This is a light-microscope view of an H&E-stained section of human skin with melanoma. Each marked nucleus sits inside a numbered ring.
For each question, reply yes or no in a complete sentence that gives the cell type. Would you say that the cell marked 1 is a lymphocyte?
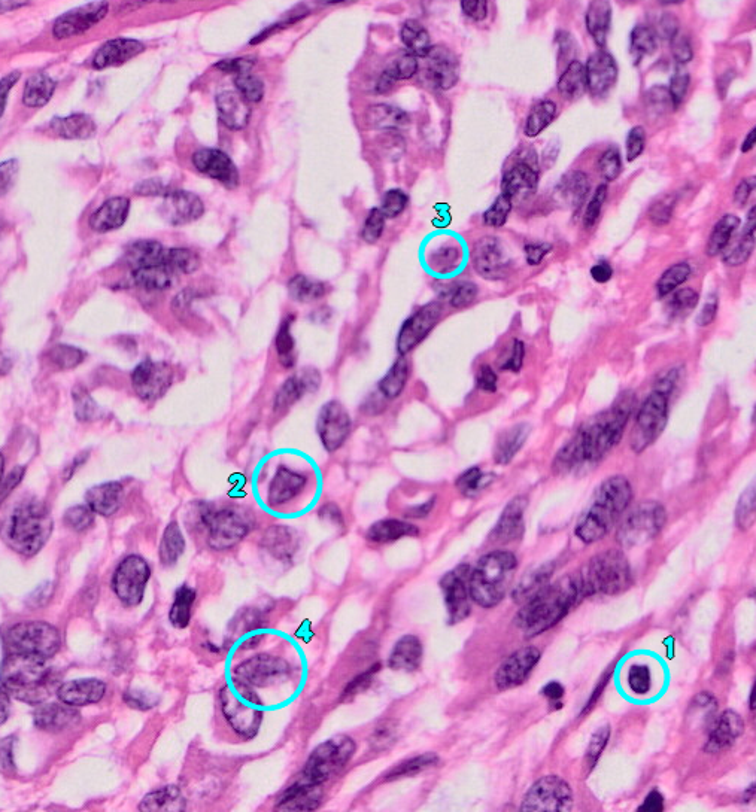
Yes, that one, number 1, is a lymphocyte.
